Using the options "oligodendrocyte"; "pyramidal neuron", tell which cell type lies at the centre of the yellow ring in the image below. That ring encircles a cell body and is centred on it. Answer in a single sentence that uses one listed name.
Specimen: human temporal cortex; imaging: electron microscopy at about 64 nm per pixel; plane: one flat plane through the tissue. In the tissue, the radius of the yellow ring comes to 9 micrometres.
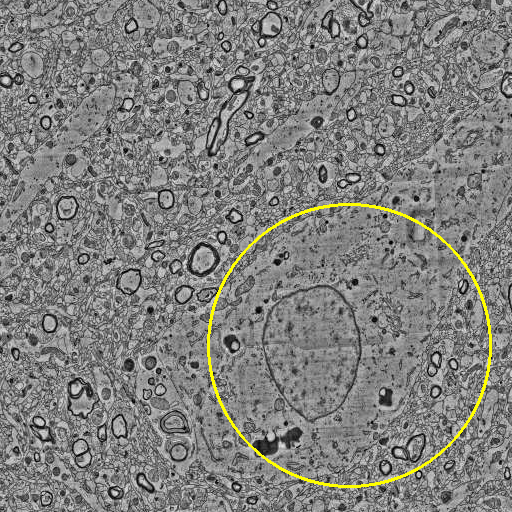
At the centre of the yellow ring lies the body of a pyramidal neuron.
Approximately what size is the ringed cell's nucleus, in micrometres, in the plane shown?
About 9 micrometres by about 6 micrometres in this plane.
